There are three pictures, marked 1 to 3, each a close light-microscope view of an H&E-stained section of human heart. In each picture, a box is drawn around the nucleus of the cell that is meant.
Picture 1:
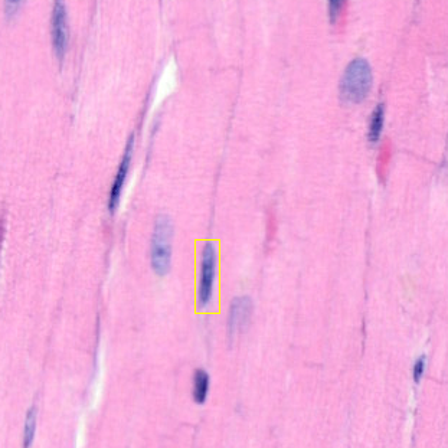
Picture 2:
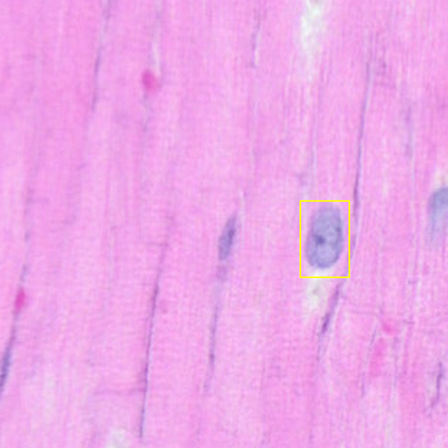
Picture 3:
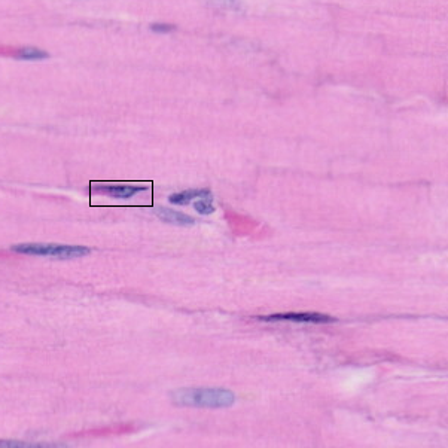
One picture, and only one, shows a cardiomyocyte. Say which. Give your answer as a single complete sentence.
The cardiomyocyte is the one in picture 2.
